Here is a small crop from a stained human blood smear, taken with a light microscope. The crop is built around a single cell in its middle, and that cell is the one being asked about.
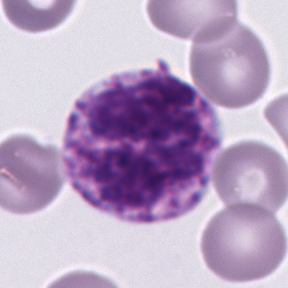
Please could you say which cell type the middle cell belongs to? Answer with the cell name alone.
basophil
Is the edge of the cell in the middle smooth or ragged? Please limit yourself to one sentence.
Irregular rather than smooth, the cell margin shows ragged areas or projections.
